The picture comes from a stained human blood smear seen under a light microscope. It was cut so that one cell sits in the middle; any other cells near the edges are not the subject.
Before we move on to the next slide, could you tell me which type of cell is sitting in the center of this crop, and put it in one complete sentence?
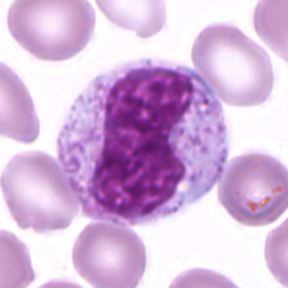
In the central position of this crop, the cell is a metamyelocyte.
